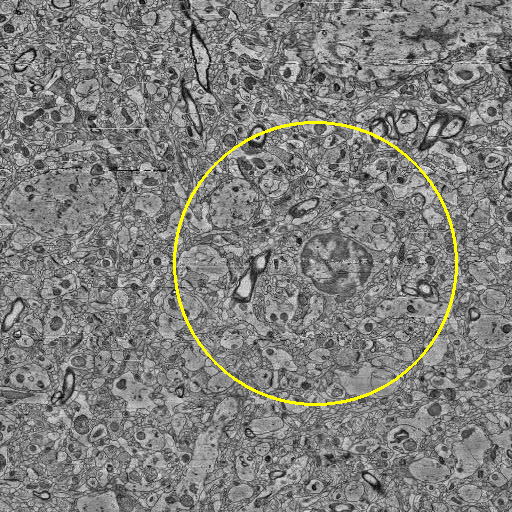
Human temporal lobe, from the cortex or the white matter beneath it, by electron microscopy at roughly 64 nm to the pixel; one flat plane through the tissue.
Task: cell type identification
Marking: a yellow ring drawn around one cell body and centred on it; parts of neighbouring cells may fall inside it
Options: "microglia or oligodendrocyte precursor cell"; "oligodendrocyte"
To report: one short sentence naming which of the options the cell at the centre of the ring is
The cell at the centre of the ring is an oligodendrocyte.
